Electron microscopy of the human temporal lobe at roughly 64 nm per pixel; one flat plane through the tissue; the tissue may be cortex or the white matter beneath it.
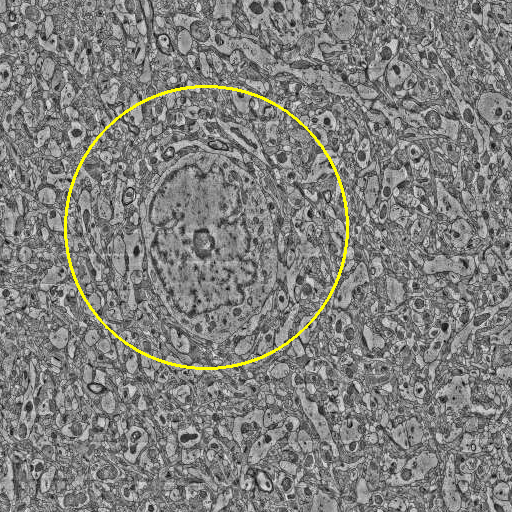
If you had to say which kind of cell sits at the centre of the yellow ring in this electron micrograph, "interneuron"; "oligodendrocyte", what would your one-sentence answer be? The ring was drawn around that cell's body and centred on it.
The cell sitting at the centre of the ring is an interneuron.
